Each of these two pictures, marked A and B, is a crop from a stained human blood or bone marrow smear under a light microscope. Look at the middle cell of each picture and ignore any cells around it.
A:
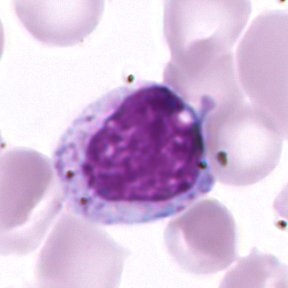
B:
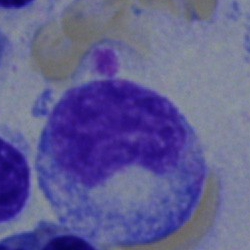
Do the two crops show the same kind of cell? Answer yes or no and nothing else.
yes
